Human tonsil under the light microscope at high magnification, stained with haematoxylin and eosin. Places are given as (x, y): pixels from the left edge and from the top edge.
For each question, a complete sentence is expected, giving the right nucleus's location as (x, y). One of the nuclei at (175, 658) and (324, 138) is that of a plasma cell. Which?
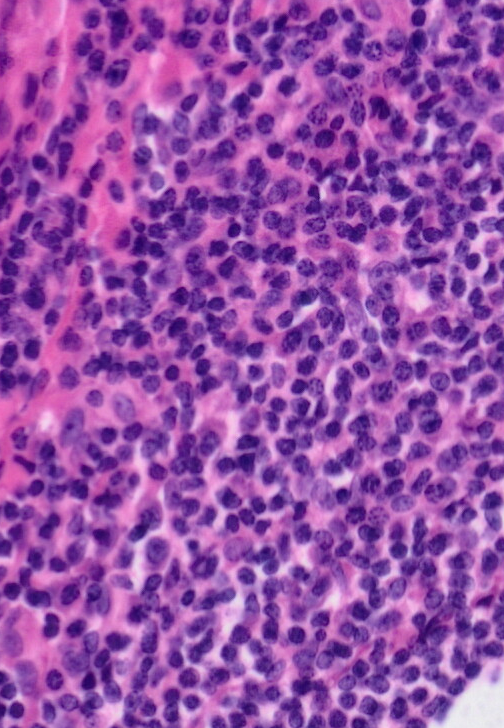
Of the pair, the nucleus located at (324, 138) belongs to a plasma cell.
